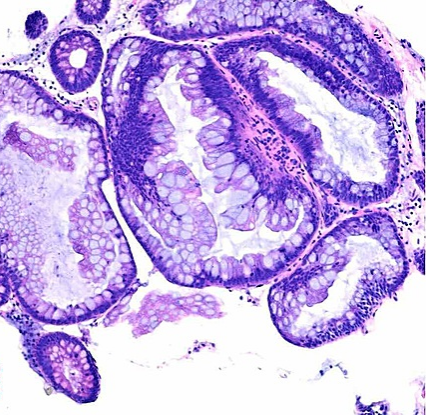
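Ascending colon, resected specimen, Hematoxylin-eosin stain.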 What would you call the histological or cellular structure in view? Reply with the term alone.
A: serrated crypts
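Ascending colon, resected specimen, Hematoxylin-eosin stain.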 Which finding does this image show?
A: irregularly dilated and branching crypts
